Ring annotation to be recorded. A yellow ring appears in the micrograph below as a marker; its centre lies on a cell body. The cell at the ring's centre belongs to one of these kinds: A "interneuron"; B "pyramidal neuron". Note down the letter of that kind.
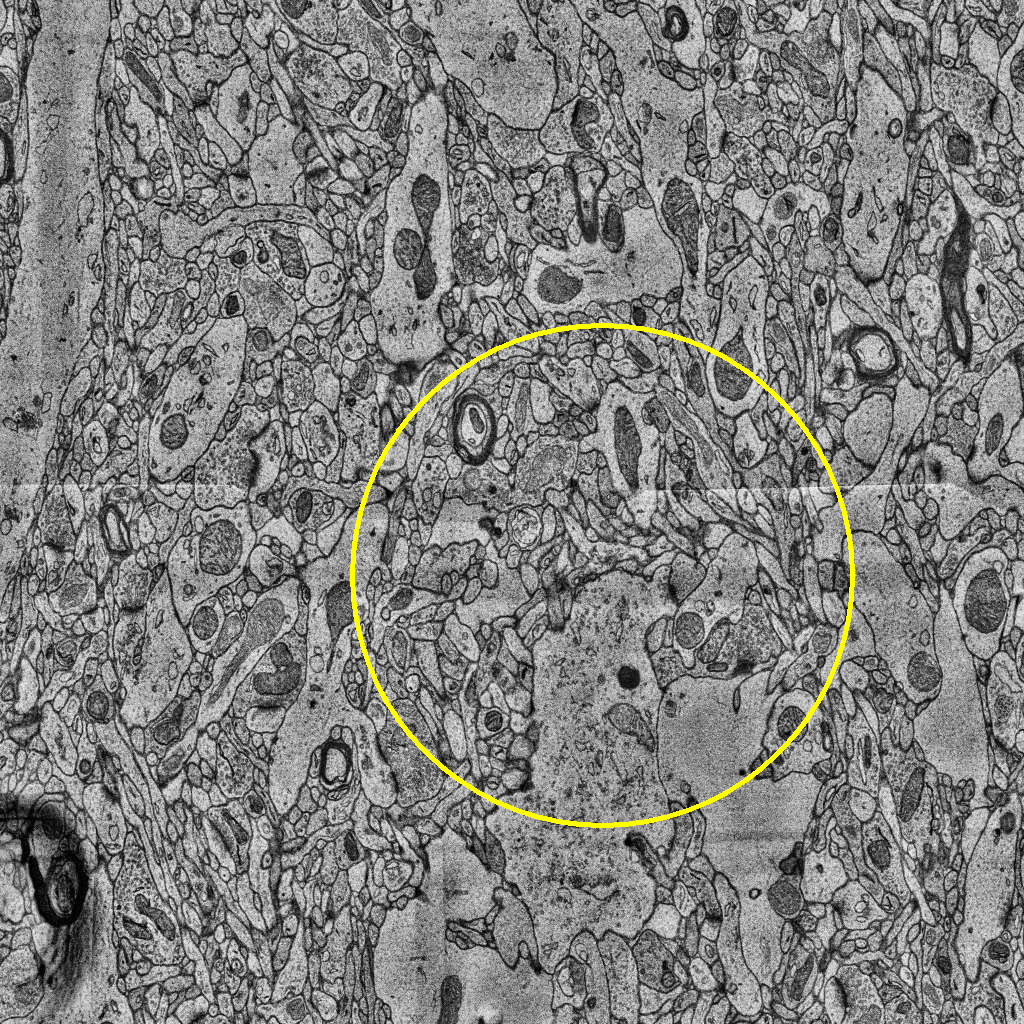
A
